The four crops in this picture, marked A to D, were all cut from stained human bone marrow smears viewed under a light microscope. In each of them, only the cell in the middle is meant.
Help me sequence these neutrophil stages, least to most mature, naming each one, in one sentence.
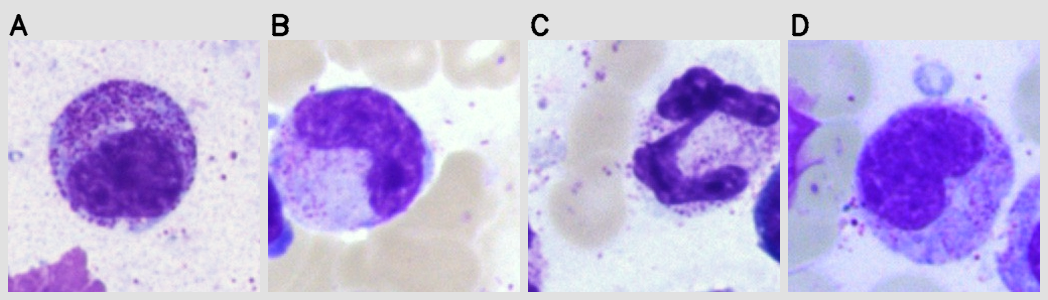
Along the maturation line, from least to most mature, sit crop A (a myelocyte), crop D (a metamyelocyte), crop B (a band neutrophil) and crop C (a segmented neutrophil).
